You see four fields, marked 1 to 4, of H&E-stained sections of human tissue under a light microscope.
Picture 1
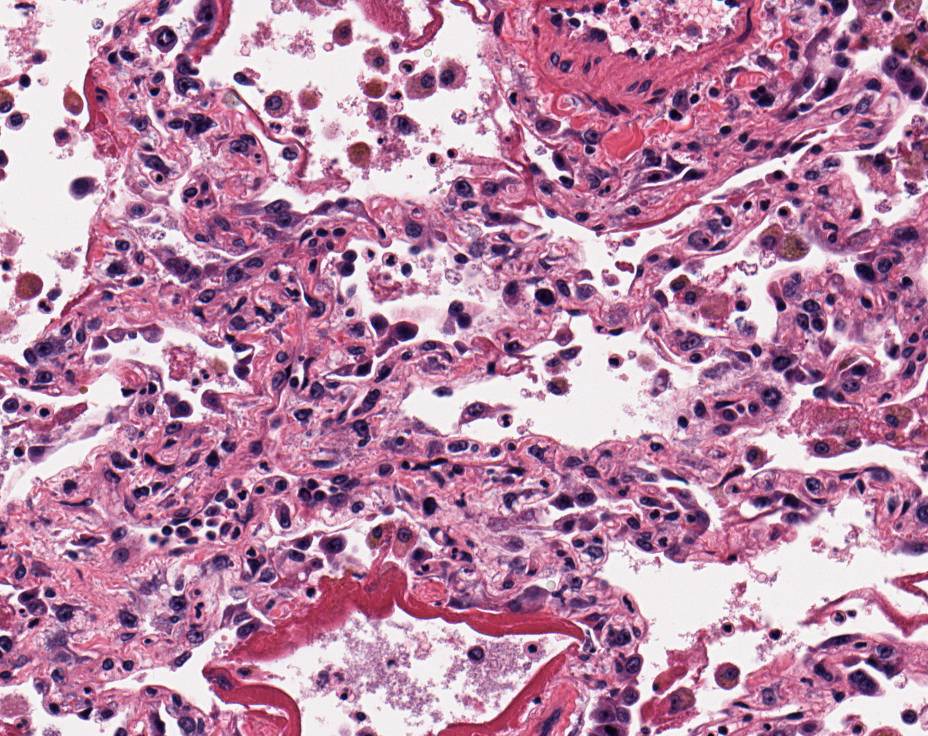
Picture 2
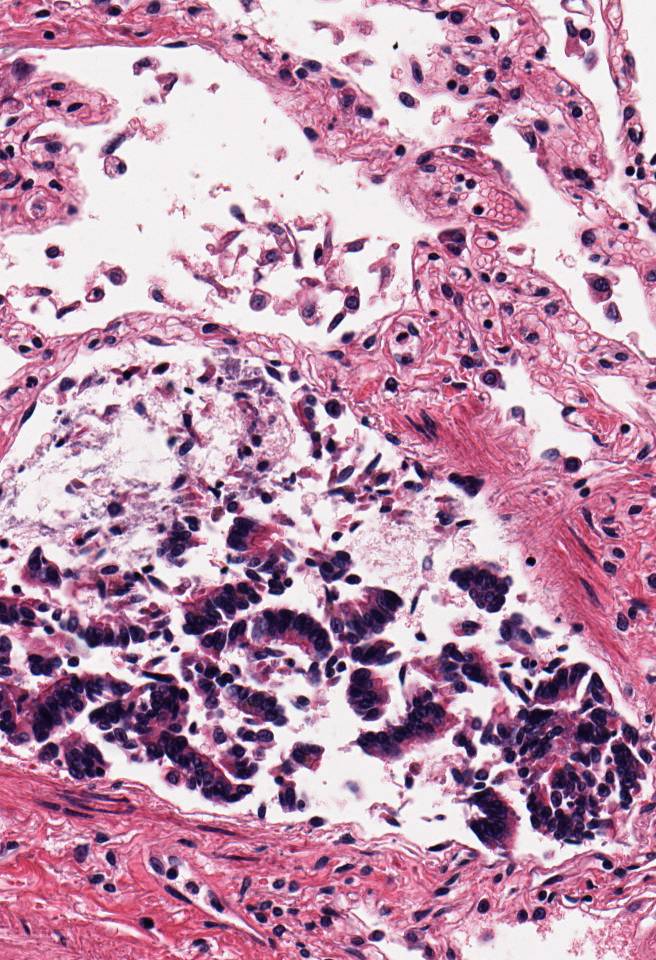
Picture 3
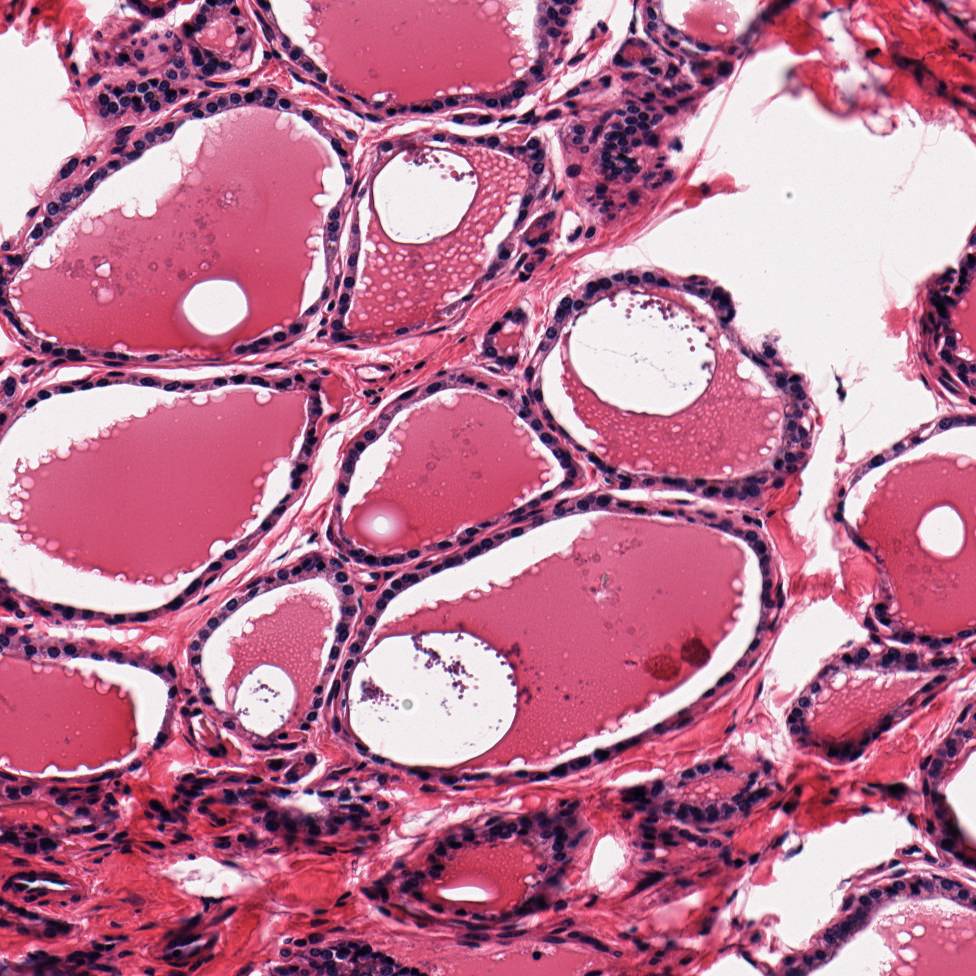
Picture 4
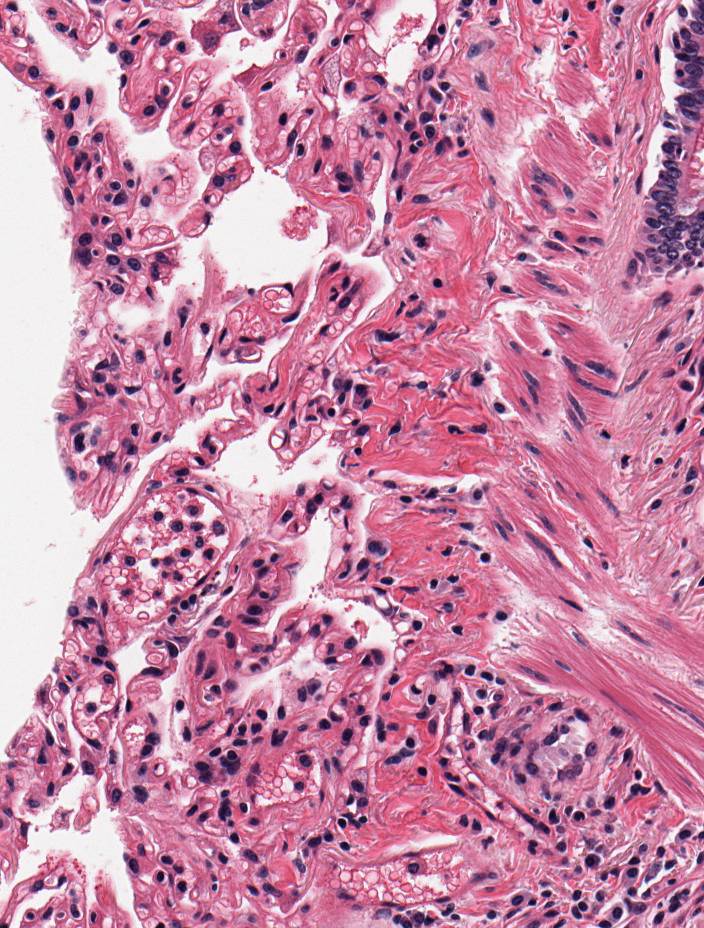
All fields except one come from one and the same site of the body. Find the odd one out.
3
